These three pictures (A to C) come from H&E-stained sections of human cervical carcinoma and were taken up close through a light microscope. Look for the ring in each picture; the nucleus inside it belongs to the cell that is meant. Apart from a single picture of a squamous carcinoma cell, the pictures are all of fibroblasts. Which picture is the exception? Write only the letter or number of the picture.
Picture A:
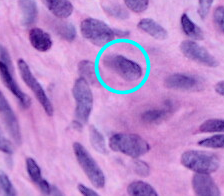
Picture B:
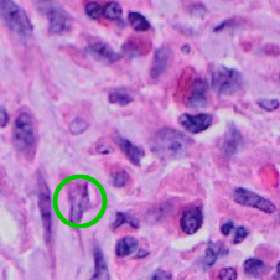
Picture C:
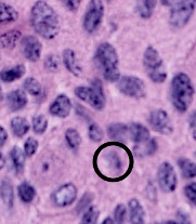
C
